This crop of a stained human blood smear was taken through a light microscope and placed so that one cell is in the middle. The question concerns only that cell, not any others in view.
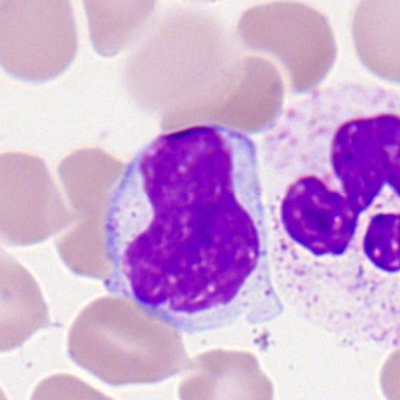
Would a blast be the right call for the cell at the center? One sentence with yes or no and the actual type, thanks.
No, not a blast: the cell in the middle of this crop is a lymphocyte.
